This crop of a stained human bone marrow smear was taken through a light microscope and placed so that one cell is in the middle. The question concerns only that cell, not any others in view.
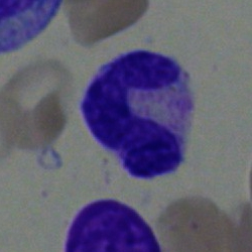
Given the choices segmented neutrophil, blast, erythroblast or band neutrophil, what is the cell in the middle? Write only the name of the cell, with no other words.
band neutrophil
